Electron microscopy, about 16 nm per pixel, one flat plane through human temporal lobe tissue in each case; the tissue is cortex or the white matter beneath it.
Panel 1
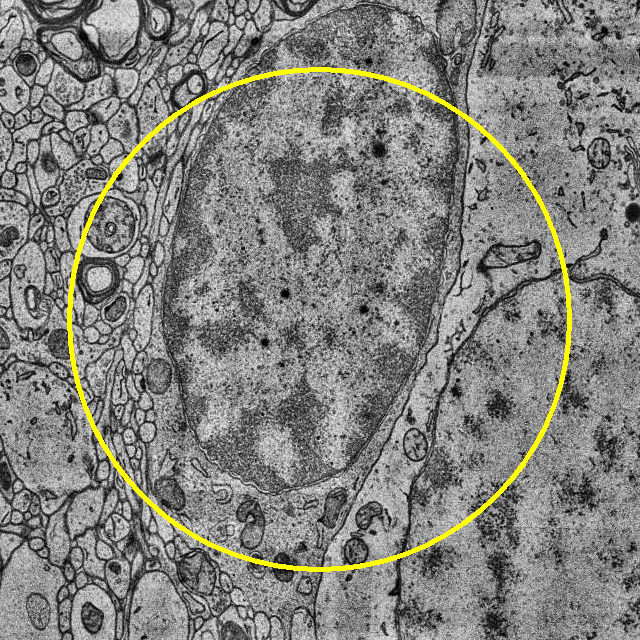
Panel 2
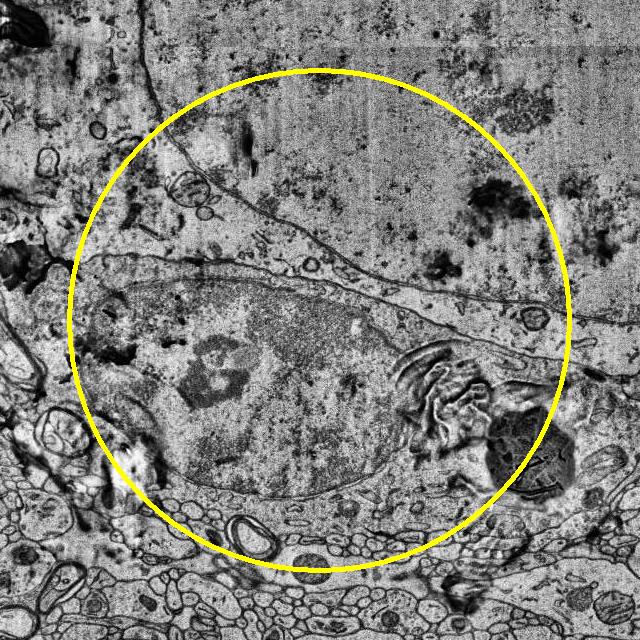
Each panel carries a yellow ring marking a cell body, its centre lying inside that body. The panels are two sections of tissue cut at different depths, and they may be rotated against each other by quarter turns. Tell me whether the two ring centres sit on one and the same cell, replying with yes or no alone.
yes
